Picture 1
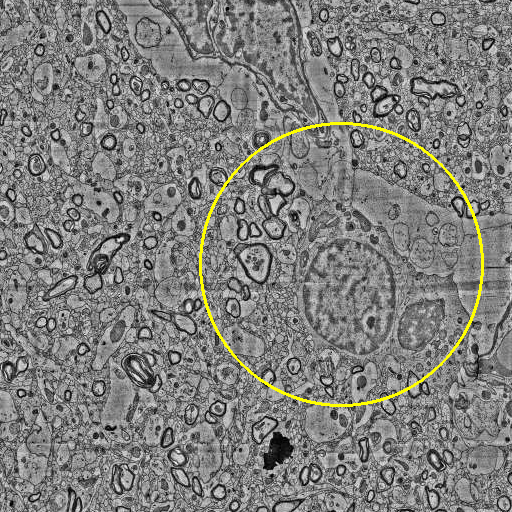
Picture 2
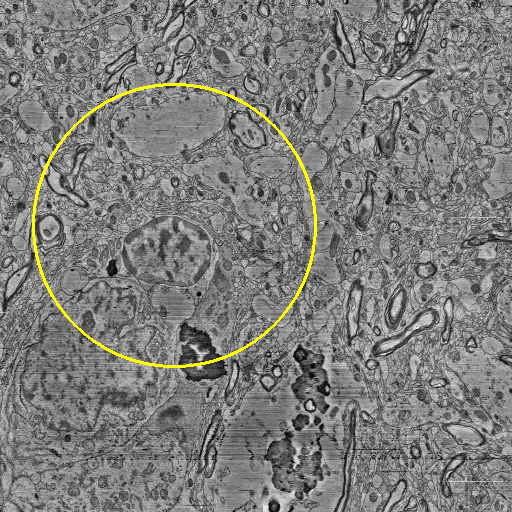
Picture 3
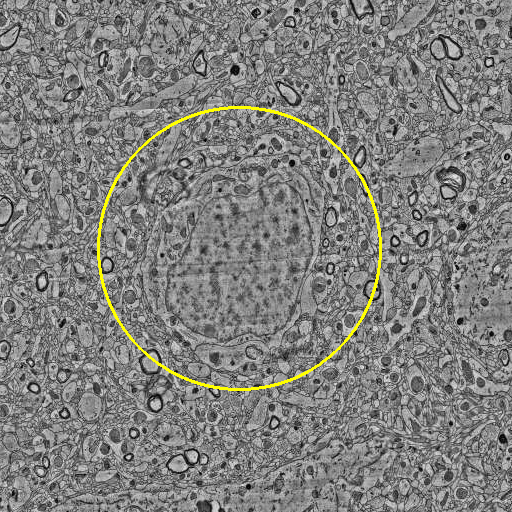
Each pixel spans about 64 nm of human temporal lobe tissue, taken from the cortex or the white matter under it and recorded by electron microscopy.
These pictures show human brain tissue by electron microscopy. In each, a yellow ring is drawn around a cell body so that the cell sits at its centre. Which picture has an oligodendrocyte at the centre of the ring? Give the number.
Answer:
1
